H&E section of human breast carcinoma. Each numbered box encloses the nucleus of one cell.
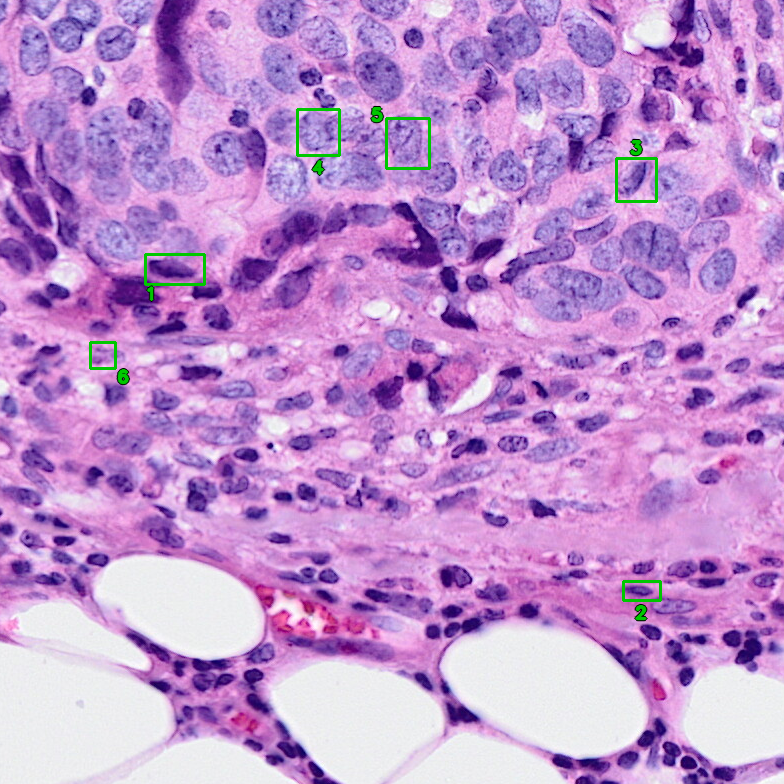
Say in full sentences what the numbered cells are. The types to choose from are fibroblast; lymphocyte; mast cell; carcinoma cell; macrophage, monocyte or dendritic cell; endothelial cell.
Cell 1 is a carcinoma cell, cell 2 is an endothelial cell, cell 3 is a carcinoma cell, cell 4 is a carcinoma cell, cell 5 is a carcinoma cell and cell 6 is a macrophage, monocyte or dendritic cell.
